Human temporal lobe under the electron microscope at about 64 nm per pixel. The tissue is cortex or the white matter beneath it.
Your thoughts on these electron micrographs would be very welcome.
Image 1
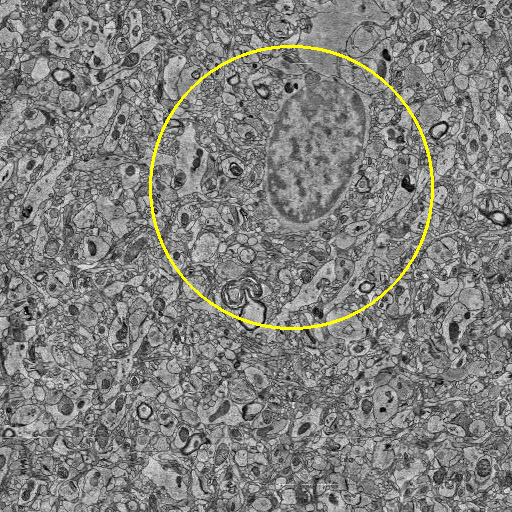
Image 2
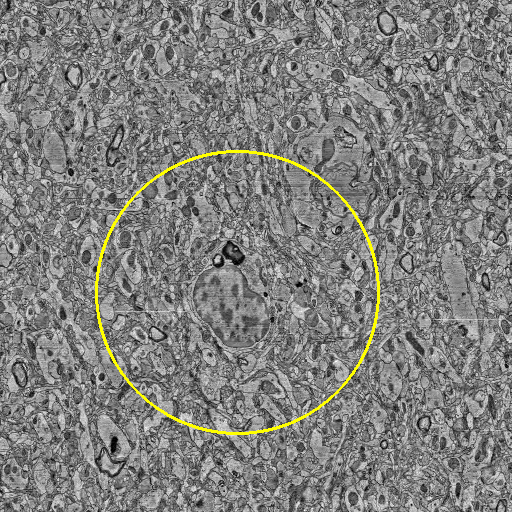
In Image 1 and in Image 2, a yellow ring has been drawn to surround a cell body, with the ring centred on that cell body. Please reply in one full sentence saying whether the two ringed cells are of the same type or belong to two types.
The ringed cells in Image 1 and Image 2 belong to two types.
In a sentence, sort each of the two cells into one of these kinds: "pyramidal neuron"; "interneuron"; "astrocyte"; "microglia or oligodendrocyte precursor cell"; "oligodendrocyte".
The first of the two cells is an oligodendrocyte, and the second is a microglial cell or oligodendrocyte precursor cell.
